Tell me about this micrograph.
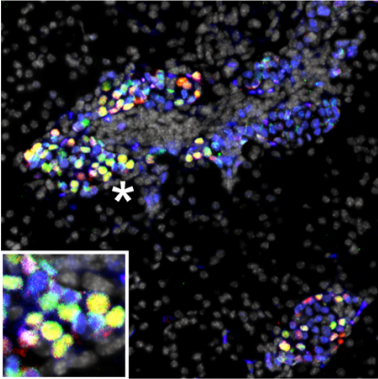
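In the large cluster marked by an asterisk, many round nuclei appear yellow to orange where green and red overlap, and others are blue. A smaller cluster at the lower right shows a similar mix of coloured nuclei. The inset enlarges part of the marked cluster, where tightly packed round nuclei of overlapping colours sit side by side.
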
